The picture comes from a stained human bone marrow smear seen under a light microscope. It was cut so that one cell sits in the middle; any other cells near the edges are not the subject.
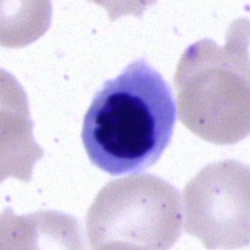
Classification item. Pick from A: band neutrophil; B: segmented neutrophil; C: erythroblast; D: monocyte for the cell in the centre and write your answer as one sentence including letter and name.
For this crop, option C is right, the centered cell being an erythroblast.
